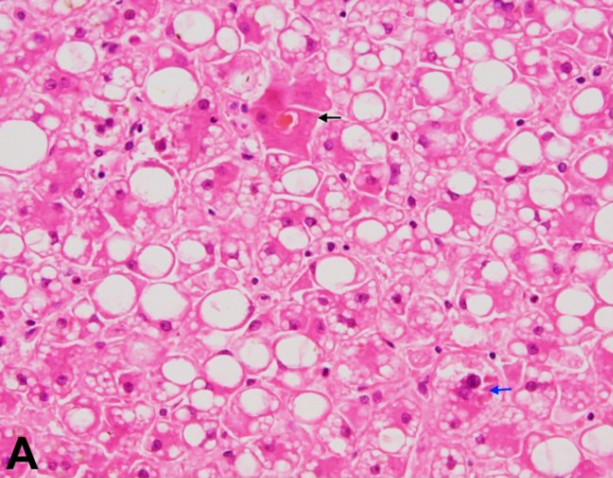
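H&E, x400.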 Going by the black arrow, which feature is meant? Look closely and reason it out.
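The black arrow points to a small red-orange globule inside a tiny lumen between hepatocytes. The lumen is surrounded by deeply pink hepatocyte cytoplasm. That points to this answer: intracanalicular bile plug.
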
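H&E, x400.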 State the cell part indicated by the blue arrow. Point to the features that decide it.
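The blue arrow points to a dense, clumped, darkly stained inclusion in a hepatocyte cytoplasm. The surrounding hepatocytes are full of clear vacuoles.
Mallory Denk Bodies.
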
